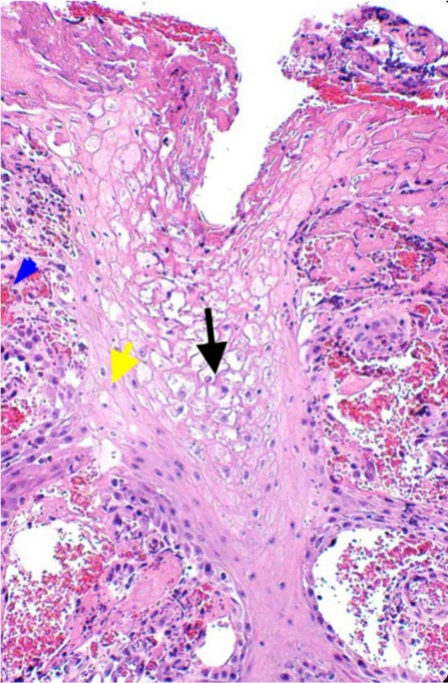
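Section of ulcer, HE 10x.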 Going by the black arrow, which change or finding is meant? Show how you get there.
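Reticular keratinocyte degeneration. The arrow points to epidermal cells with cleared, empty-looking cytoplasm. Thin pink cell borders remain and form a net-like pattern. The small nuclei sit within the cleared cells.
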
